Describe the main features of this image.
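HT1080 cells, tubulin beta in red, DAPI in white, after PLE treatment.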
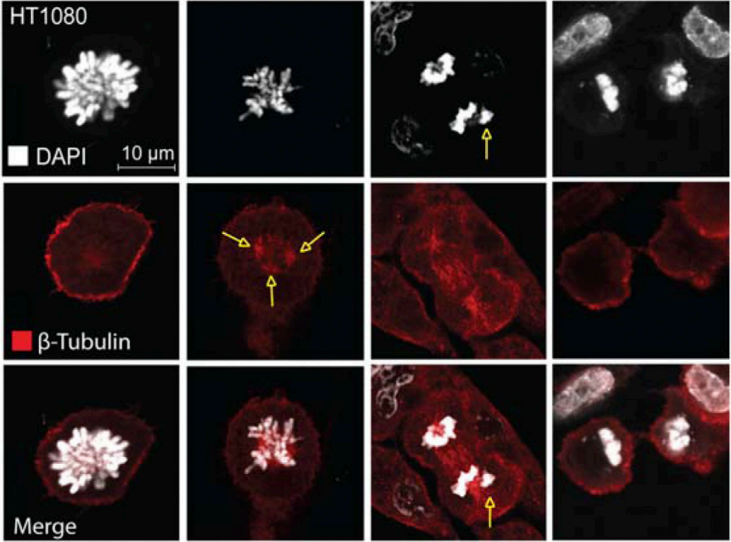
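Rounded cultured cells are seen at successive steps of division, with white condensed chromosomes inside a thin red outline of cytoplasm. In the earliest cell the chromosomes form a bulky, rod-filled mass, while in the next the chromosomes gather in a central cluster and the red signal is concentrated in three separate spots around it, rather than two opposite poles. Later, two white chromosome masses pull apart inside an elongated cell, one with chromosome material set off at its edge, and finally two compact chromosome groups lie in two daughter cells beside flat interphase nuclei. These are cells passing through mitosis, some showing mitotic abnormalities such as extra spindle poles and faulty chromosome separation.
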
